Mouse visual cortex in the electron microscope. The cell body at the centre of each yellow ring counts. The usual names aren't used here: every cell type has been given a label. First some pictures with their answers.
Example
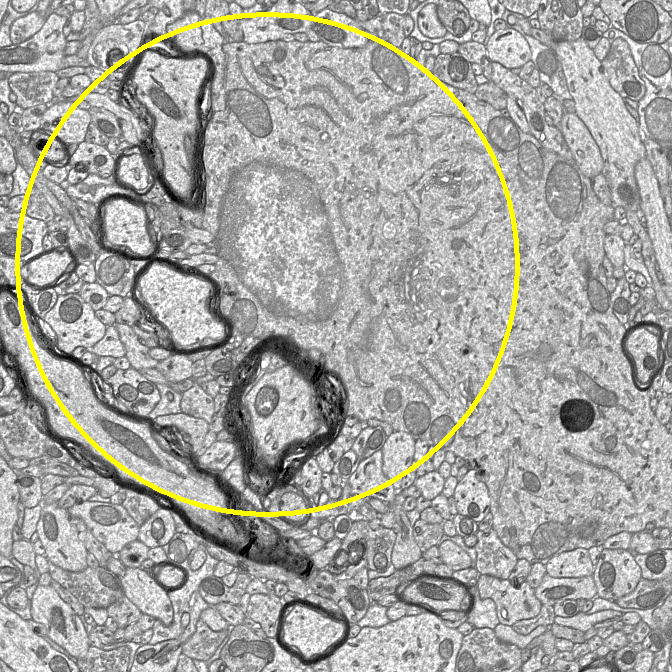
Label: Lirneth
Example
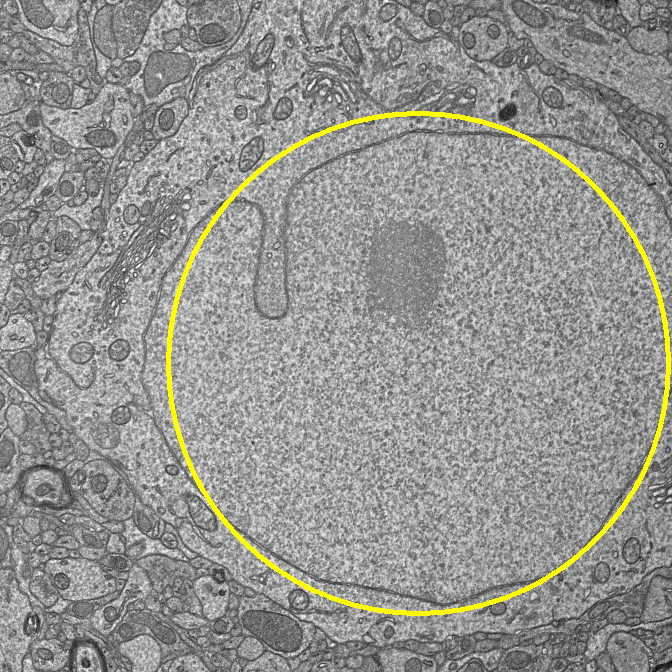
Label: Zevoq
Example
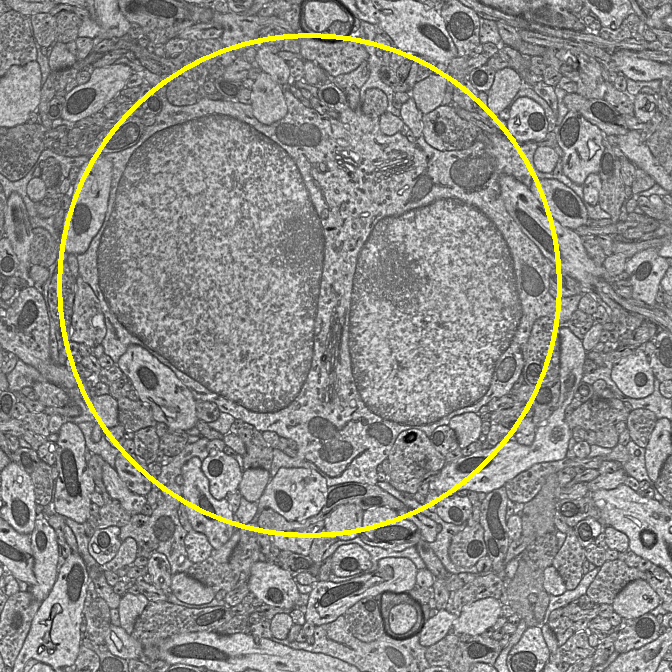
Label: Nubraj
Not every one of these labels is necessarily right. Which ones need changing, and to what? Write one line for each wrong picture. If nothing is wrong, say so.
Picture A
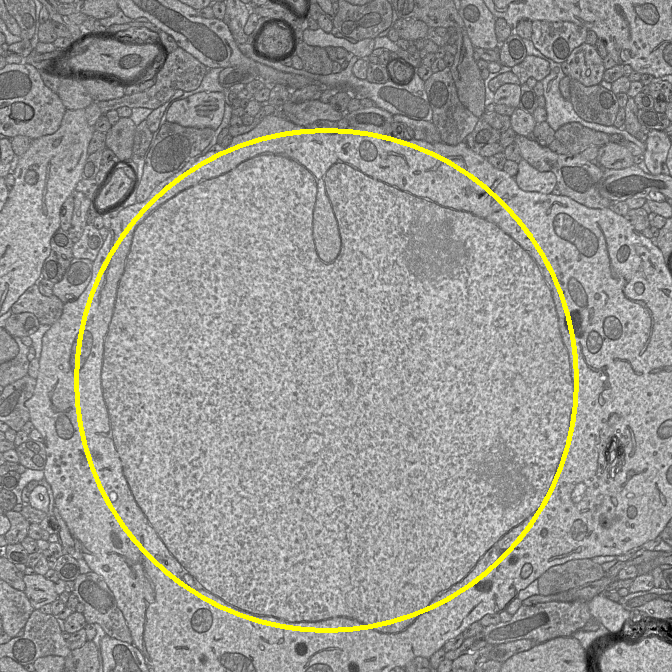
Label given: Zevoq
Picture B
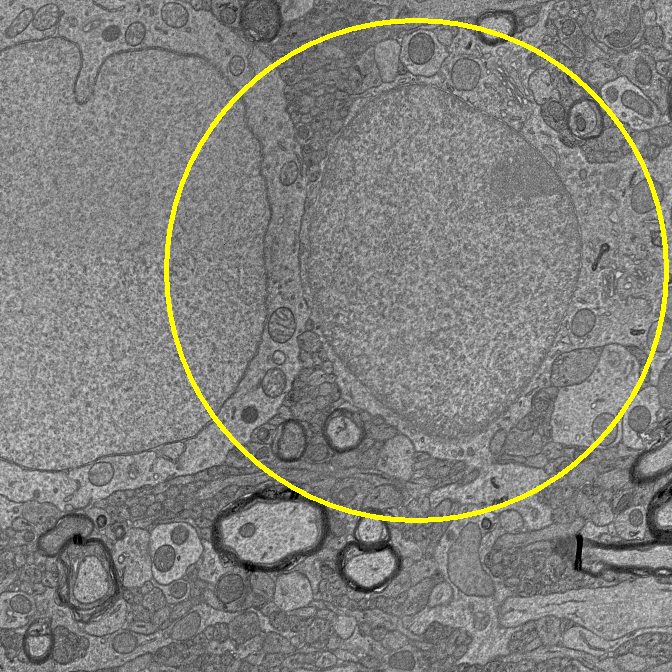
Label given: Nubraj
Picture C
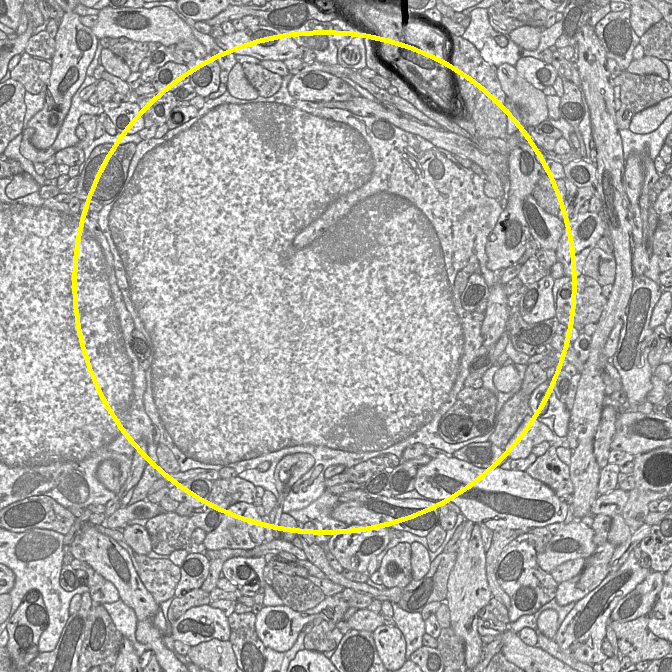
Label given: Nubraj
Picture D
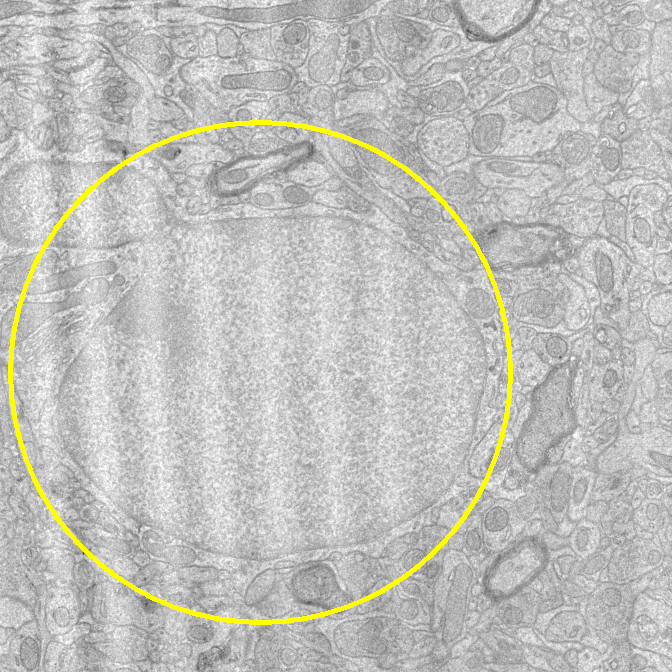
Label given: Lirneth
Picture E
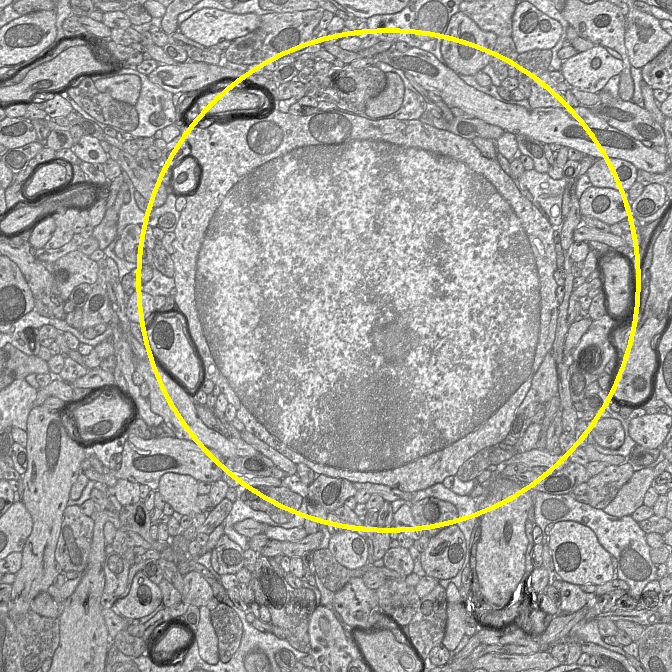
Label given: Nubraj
D should be Nubraj, not Lirneth
E should be Lirneth, not Nubraj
